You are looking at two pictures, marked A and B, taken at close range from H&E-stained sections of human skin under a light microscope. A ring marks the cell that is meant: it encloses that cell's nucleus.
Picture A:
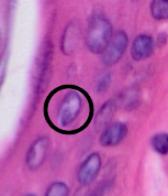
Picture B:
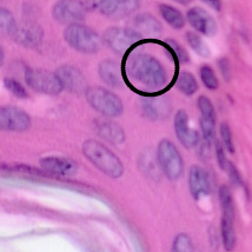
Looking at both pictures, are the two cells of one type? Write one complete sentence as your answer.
No. Picture A shows a suprabasal keratinocyte, but picture B shows a basal keratinocyte.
